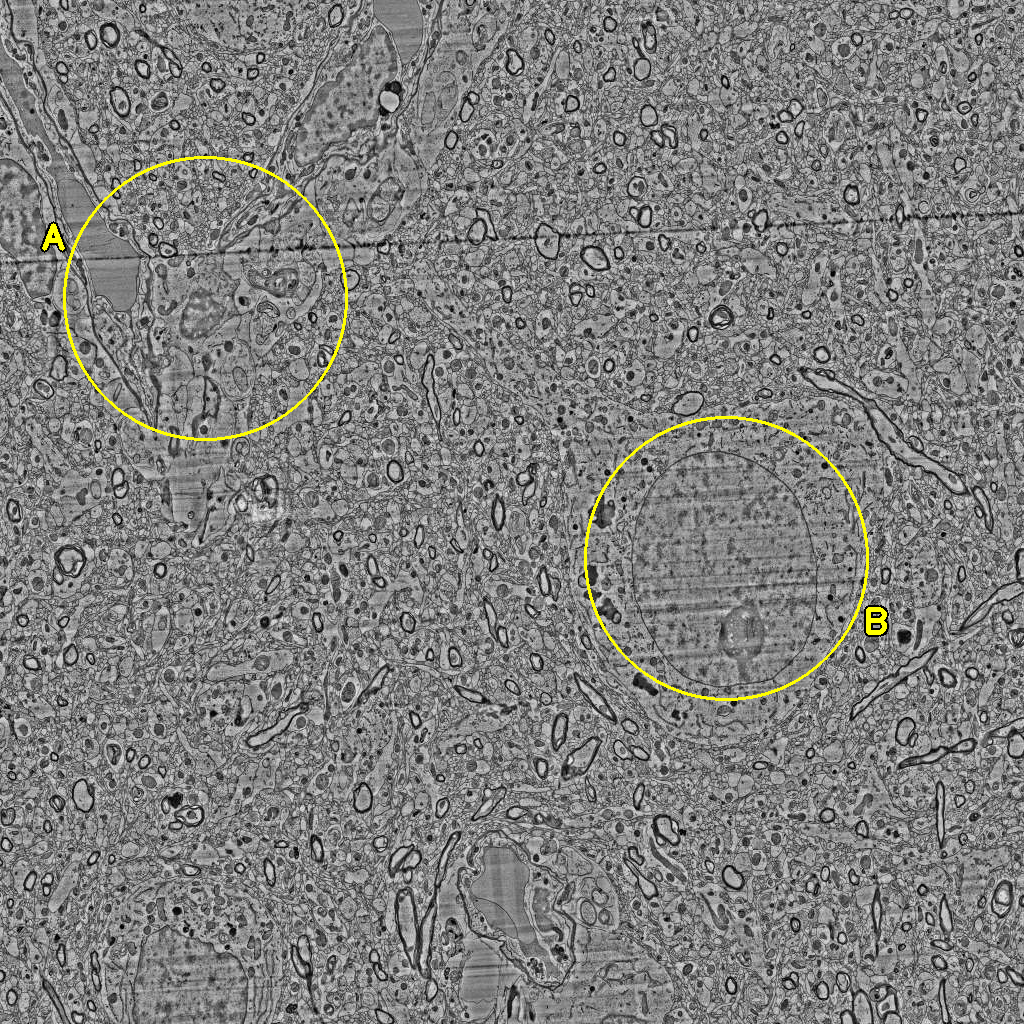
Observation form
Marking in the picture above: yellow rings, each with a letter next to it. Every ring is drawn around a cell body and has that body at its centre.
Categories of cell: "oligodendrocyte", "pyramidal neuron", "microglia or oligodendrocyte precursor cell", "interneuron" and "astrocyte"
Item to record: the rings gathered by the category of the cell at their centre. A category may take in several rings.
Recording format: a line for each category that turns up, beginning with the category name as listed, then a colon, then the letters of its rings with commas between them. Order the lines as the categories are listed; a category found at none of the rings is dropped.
oligodendrocyte: A
pyramidal neuron: B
